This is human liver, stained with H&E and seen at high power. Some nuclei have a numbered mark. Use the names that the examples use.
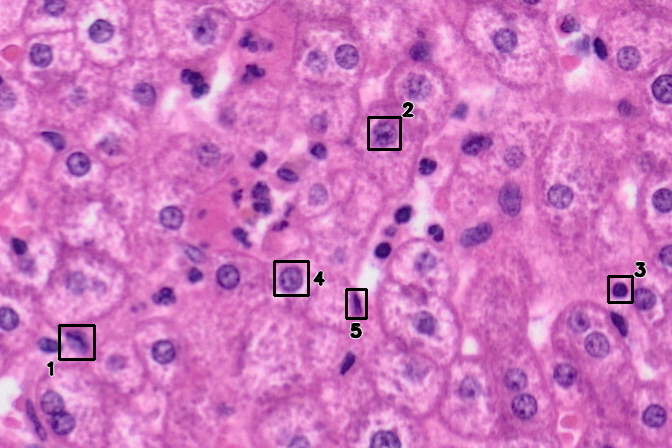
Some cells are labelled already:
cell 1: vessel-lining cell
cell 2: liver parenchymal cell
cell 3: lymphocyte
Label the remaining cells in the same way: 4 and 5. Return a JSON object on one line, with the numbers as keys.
{"4": "liver parenchymal cell", "5": "vessel-lining cell"}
